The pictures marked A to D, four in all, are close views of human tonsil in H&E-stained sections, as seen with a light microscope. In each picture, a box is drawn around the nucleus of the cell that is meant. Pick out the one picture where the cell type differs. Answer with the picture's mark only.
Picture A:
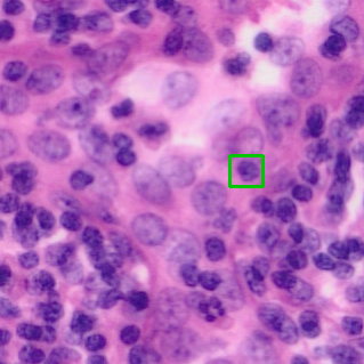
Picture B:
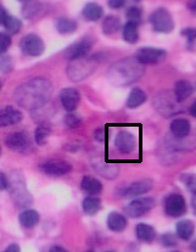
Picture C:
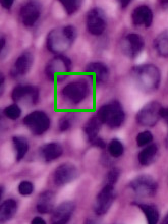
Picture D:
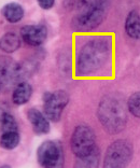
C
